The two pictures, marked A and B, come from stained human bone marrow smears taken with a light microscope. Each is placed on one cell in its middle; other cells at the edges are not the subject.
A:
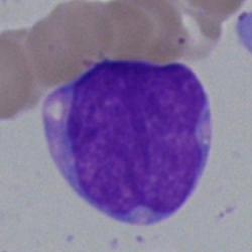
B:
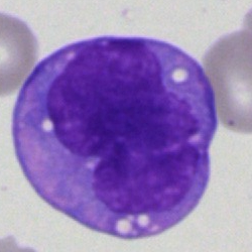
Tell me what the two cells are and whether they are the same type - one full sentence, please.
Yes, what both crops show is blasts.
